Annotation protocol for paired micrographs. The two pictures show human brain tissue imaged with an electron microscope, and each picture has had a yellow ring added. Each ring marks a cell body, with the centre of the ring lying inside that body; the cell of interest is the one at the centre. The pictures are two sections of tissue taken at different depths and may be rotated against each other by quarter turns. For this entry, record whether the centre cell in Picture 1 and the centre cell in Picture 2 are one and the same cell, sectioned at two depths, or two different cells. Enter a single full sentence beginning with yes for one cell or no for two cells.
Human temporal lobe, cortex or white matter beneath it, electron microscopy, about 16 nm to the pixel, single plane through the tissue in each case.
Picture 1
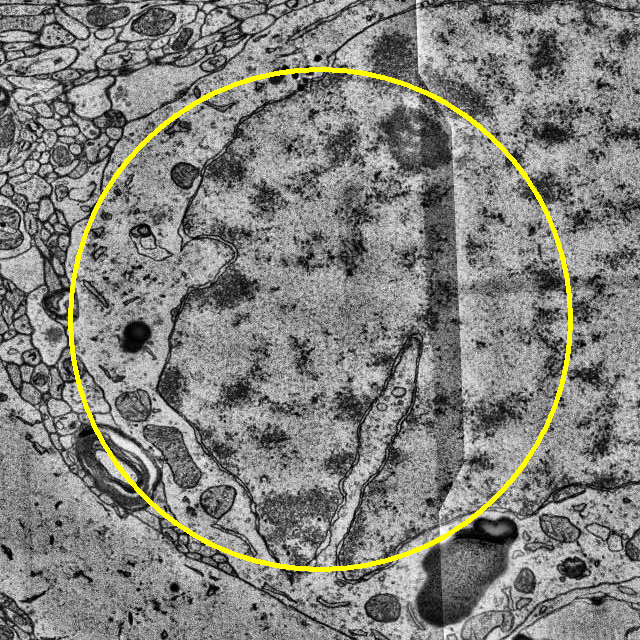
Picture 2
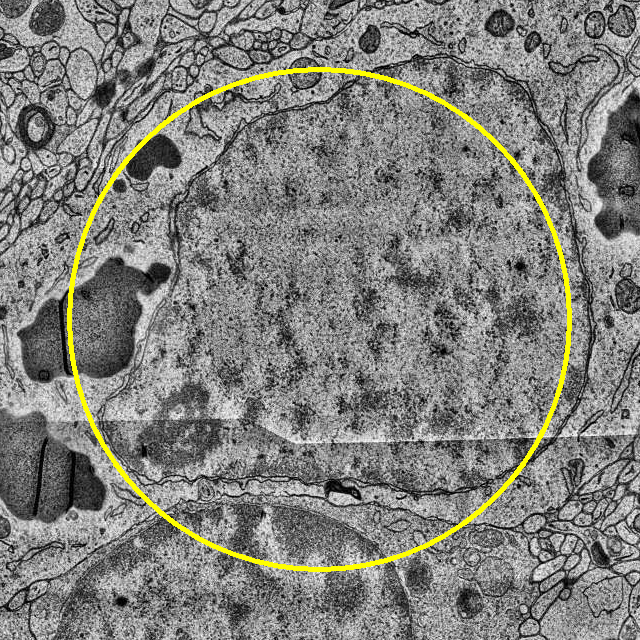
No, the rings identify two cells, not one shared cell.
